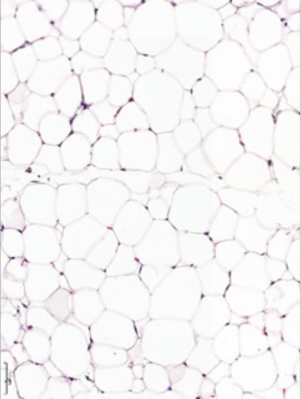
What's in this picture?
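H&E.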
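This is white adipose tissue in which large, clear adipocytes of varying size form a honeycomb pattern of thin pink septa. The single lipid droplet fills each cell, leaving only a thin rim of cytoplasm. Dark purple flattened nuclei lie at the periphery of the cells and in the spaces between them.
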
